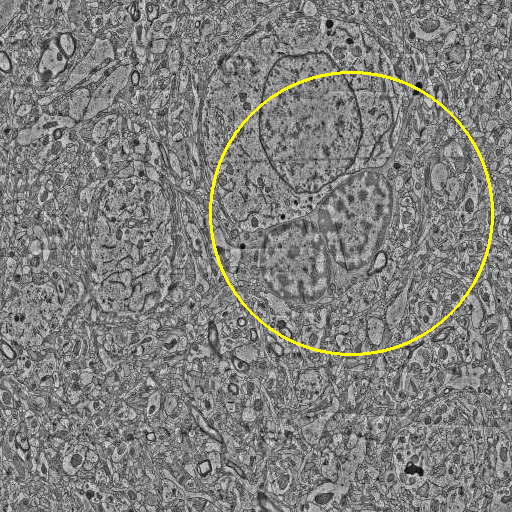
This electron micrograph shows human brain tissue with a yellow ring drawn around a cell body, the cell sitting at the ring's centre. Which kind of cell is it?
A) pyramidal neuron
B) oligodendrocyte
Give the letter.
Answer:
B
